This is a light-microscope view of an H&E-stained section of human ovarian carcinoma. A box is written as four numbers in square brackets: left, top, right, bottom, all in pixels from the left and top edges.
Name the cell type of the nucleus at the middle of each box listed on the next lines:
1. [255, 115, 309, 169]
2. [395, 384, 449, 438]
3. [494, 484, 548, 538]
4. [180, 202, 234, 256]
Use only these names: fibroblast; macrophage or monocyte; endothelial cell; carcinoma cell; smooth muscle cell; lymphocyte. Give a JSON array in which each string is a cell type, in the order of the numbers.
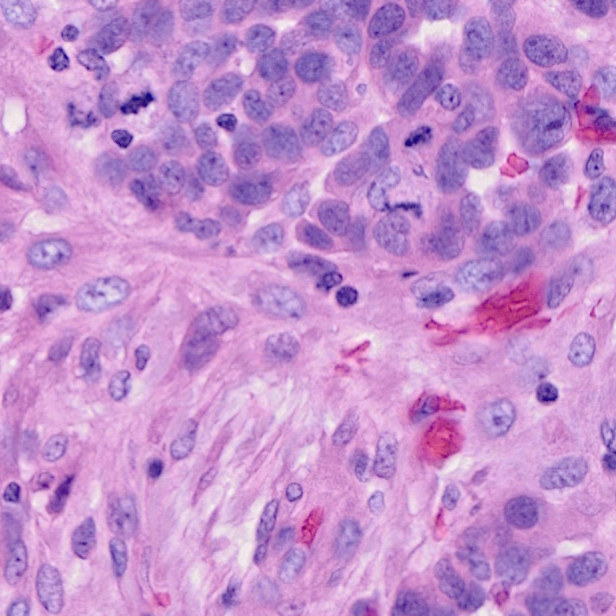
["carcinoma cell", "endothelial cell", "carcinoma cell", "macrophage or monocyte"]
